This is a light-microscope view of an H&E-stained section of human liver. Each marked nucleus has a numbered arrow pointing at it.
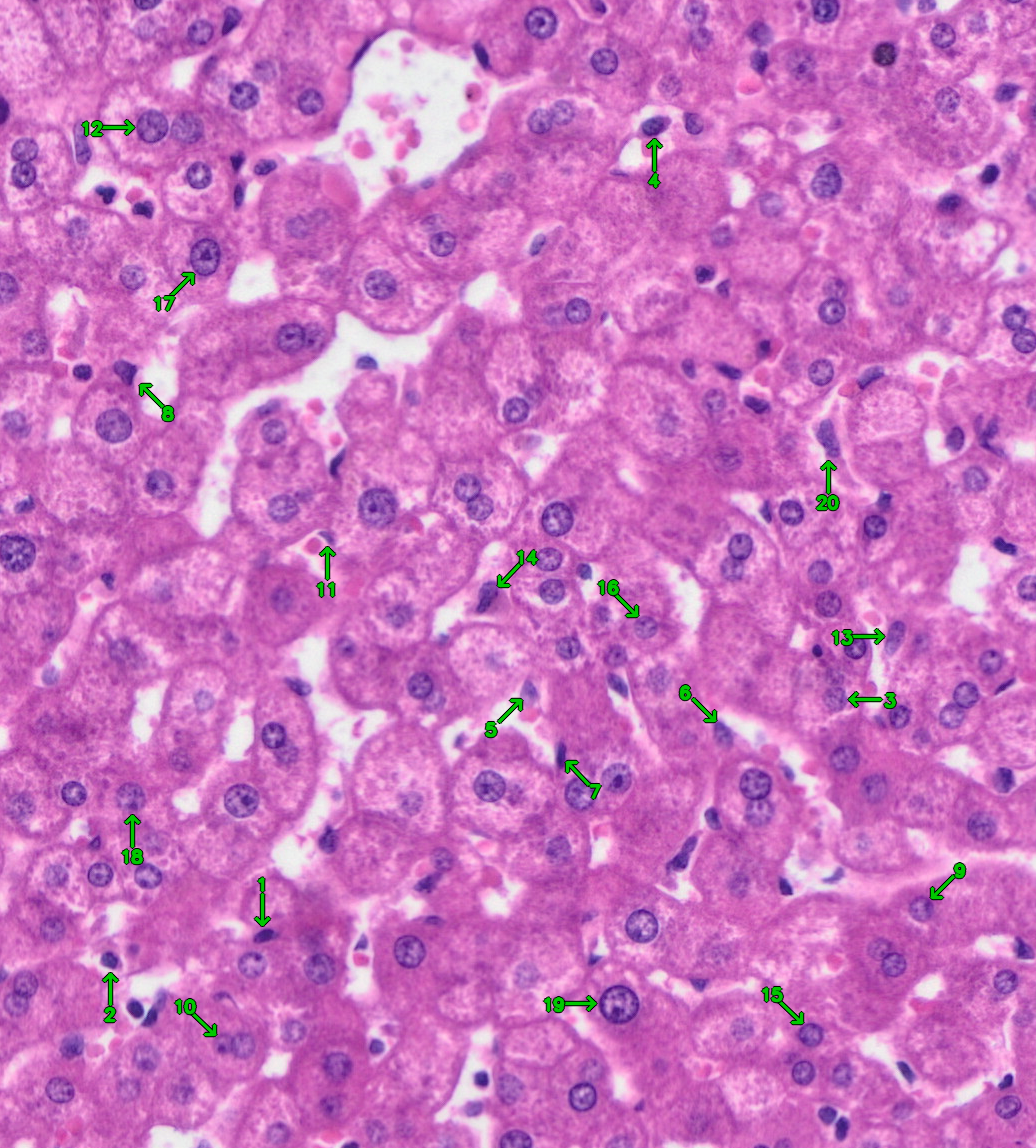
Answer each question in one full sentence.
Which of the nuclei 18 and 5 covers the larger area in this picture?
Nucleus 18 is larger, with an area about 2.5 times that of nucleus 5.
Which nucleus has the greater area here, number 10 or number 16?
At about 1.5 times the area of nucleus 10, nucleus 16 is the larger of the two.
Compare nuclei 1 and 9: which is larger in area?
Nucleus 9 is larger, with an area about 2 times that of nucleus 1.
